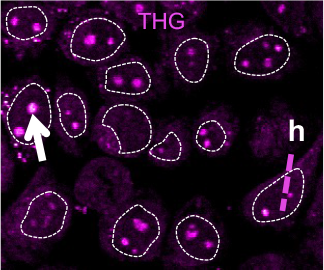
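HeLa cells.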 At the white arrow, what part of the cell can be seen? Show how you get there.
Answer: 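Nucleolus. The arrow points at a bright magenta spot. The spot lies inside a dark oval region outlined by a dashed line. Dim magenta fills the surrounding cell bodies outside the outlines.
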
